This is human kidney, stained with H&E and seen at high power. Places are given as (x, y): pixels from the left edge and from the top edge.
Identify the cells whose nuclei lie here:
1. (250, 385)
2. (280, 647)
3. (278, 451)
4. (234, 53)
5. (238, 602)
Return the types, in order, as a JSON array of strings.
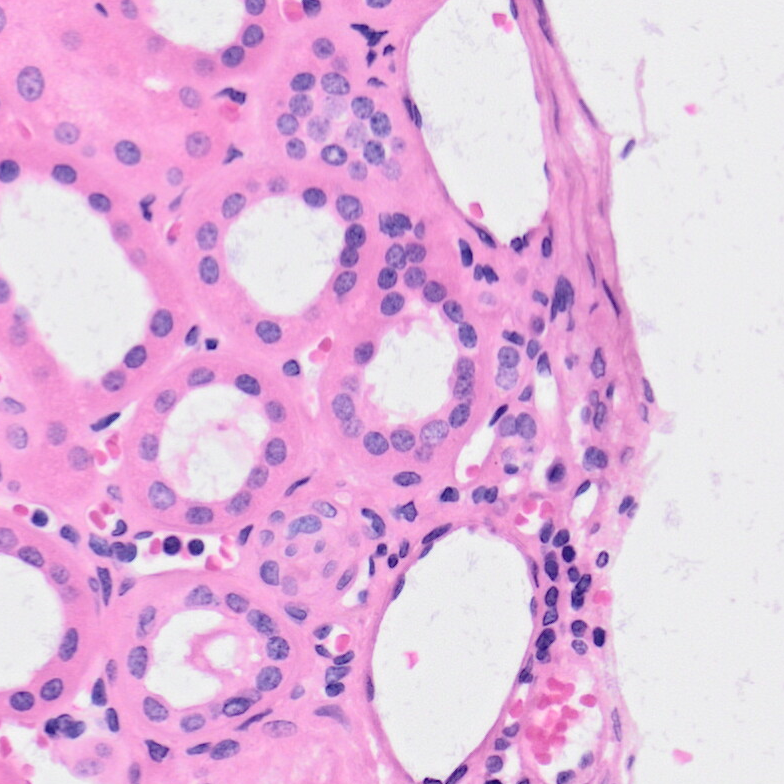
["loop of Henle or distal tubule cell", "collecting duct cell", "loop of Henle or distal tubule cell", "loop of Henle or distal tubule cell", "collecting duct cell"]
